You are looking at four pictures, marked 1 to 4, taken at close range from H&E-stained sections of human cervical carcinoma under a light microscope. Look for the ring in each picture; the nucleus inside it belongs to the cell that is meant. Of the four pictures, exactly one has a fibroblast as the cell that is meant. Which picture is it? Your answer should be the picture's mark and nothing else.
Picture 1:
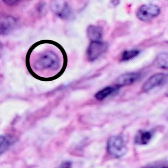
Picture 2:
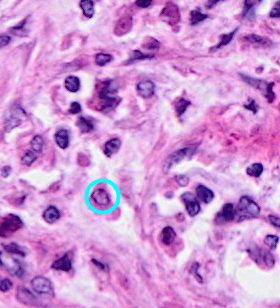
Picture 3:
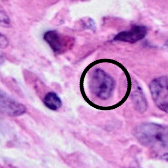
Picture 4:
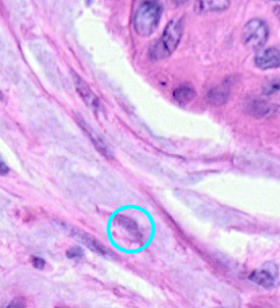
4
